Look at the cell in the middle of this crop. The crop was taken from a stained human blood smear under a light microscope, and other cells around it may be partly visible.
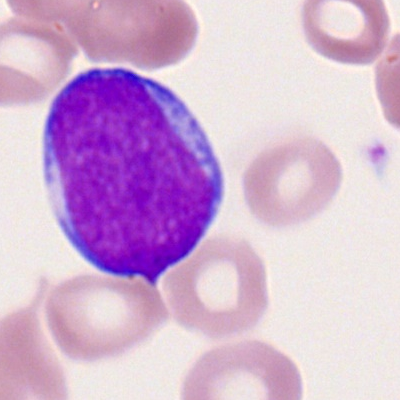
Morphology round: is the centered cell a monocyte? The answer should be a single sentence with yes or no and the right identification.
No, the cell of interest here is a blast and not a monocyte.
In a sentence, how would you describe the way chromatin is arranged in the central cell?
Check the chromatin: it is fine and not coarsely clumped.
